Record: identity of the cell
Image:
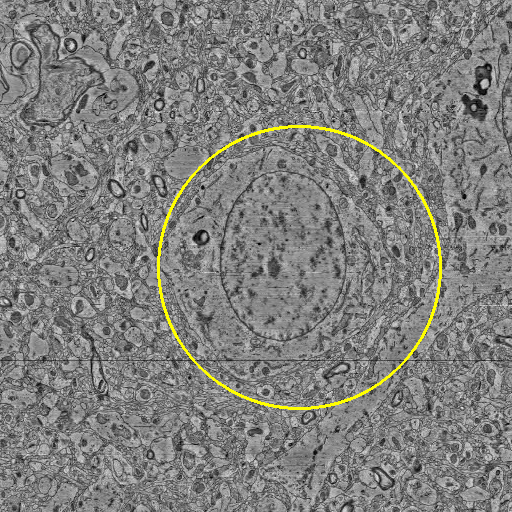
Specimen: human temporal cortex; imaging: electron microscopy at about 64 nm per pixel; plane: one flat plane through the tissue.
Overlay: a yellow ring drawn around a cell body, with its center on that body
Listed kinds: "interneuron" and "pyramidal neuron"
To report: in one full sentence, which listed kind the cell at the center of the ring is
In the image, the cell body at the ring's center belongs to a pyramidal neuron.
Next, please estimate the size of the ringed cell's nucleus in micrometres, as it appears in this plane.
The nucleus has a long axis of about 12 micrometres and a short axis of about 8 micrometres in this plane.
